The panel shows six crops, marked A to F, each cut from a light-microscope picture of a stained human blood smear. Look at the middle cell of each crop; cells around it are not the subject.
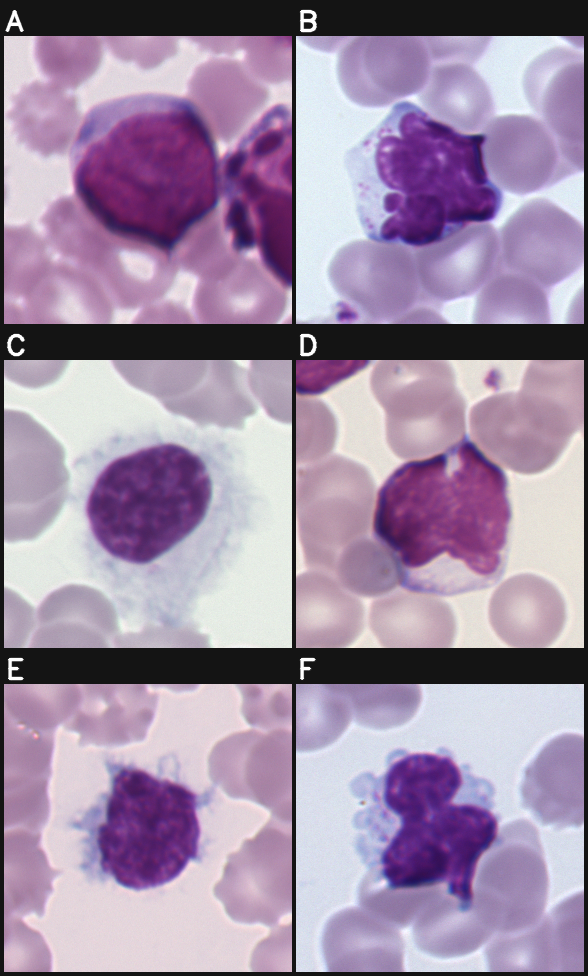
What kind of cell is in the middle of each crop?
A: myeloblast
B: large granular lymphocyte
C: hairy cell
D: large granular lymphocyte
E: hairy cell
F: large granular lymphocyte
